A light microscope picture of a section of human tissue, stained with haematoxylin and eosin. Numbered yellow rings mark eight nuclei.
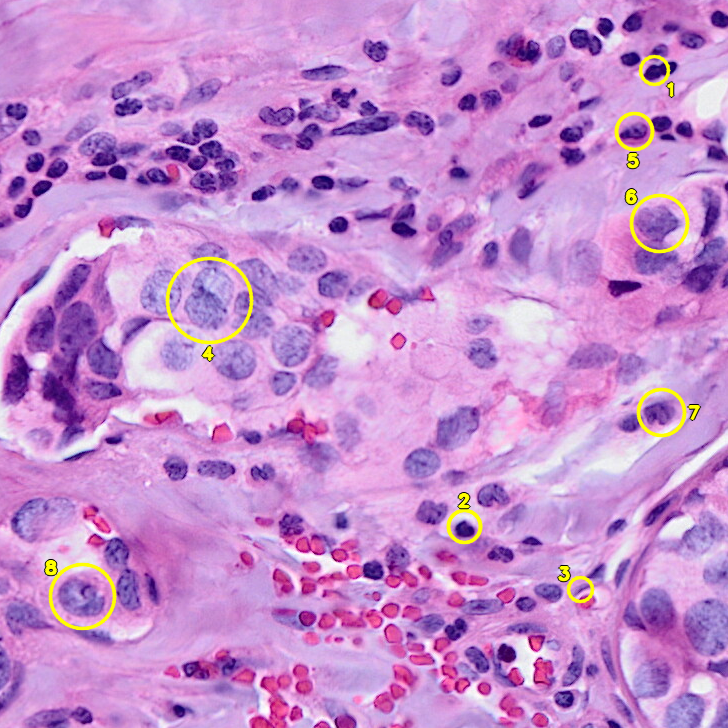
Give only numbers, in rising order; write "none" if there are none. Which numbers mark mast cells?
5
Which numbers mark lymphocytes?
1, 2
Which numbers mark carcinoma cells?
4, 6, 8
